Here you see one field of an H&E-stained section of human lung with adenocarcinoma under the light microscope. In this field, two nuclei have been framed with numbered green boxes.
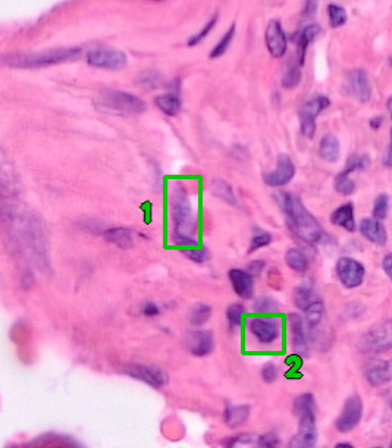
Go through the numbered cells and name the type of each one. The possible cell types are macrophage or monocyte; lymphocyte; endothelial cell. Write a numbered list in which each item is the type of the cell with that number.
1. endothelial cell
2. lymphocyte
